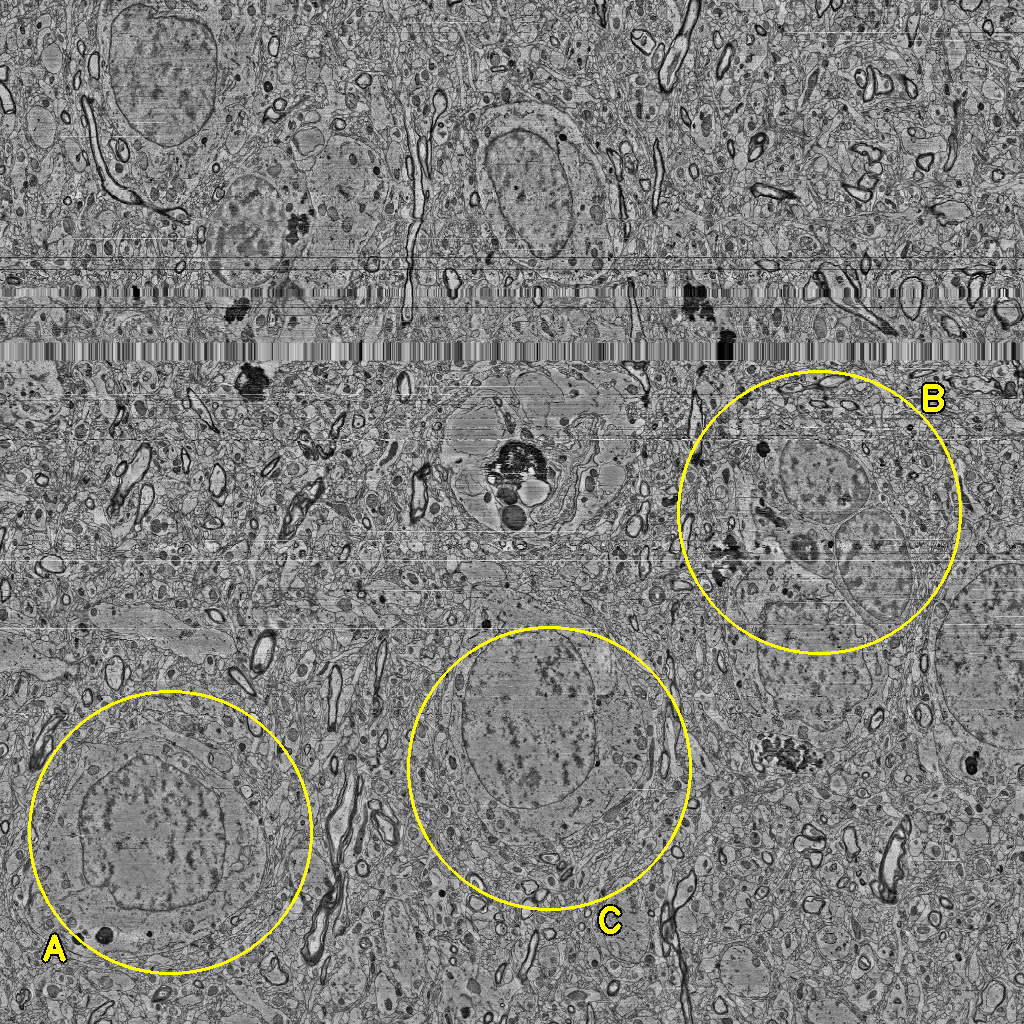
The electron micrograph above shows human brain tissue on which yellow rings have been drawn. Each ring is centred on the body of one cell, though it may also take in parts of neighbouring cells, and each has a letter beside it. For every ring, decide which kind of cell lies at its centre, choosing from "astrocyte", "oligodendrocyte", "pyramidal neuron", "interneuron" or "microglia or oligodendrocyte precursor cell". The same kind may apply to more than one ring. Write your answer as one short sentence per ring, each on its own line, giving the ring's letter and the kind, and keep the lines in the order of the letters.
Ring A is centred on a pyramidal neuron.
Ring B is centred on an oligodendrocyte.
Ring C is centred on a pyramidal neuron.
